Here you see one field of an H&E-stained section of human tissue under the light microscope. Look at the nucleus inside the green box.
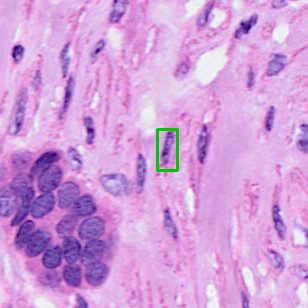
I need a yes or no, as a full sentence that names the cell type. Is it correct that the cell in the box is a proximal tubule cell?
No, the cell in the box counts as a fibroblast rather than as a proximal tubule cell.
